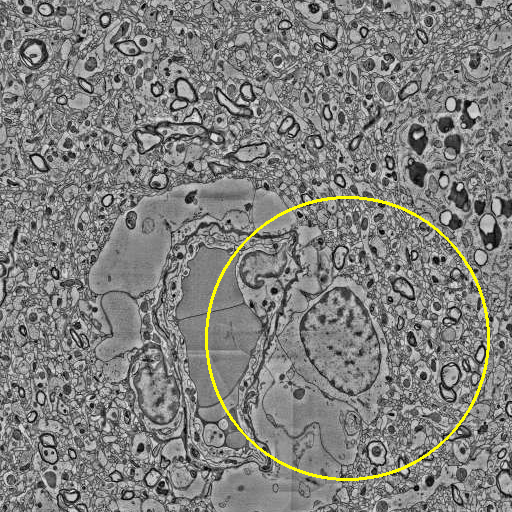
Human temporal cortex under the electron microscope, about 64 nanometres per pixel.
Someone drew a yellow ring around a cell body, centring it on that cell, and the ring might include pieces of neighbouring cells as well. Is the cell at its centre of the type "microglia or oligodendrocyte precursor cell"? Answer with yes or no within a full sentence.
Yes, within the picture, the cell the ring is centred on qualifies as that type.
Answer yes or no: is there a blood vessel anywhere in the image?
Yes, there is a blood vessel in the image.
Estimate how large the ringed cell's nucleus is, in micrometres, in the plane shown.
About 7 micrometres by about 5 micrometres in this plane.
